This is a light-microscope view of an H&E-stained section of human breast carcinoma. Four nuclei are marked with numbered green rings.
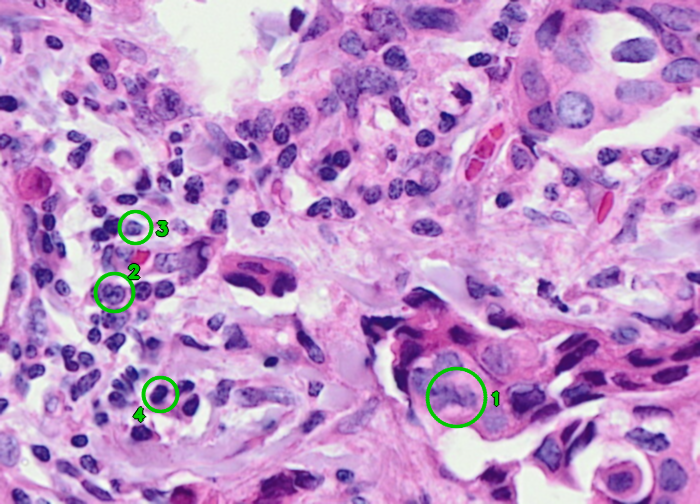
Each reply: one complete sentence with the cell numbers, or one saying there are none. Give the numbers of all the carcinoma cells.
Cell 1 is the single numbered cell that is a carcinoma cell.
